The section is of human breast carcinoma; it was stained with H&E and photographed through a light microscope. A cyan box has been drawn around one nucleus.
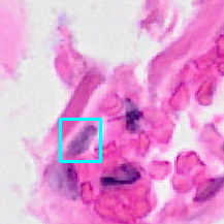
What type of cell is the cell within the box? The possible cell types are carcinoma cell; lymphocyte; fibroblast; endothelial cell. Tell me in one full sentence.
The identity of the cell within the box: it is an endothelial cell.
